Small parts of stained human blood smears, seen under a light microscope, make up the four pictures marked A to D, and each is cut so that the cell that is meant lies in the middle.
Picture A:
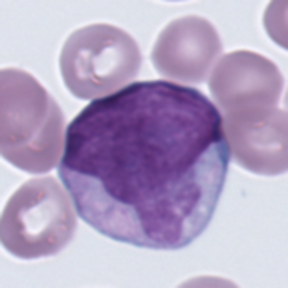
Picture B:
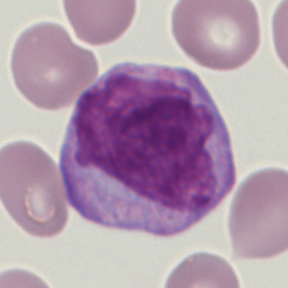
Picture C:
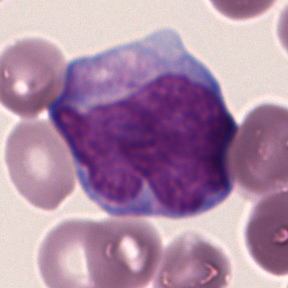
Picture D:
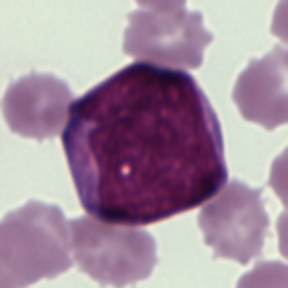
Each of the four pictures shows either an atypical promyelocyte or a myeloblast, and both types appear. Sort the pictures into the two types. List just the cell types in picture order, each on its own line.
atypical promyelocyte
atypical promyelocyte
atypical promyelocyte
myeloblast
